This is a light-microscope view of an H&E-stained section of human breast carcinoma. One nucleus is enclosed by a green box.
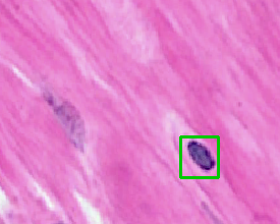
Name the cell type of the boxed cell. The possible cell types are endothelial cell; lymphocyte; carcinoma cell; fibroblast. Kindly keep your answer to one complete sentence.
As to its cell type, the boxed cell is a lymphocyte.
